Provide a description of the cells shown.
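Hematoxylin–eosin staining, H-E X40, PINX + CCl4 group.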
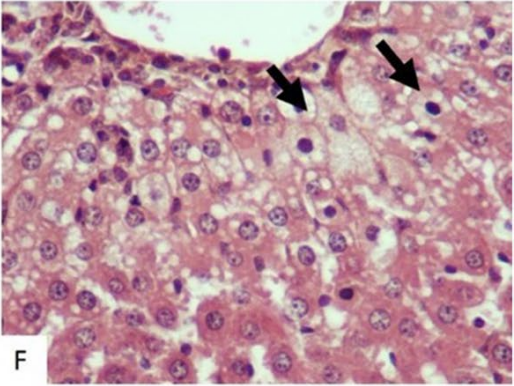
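Liver parenchyma with hepatocytes lying next to the lumen of a vessel at the top of the field. The hepatocytes have round nuclei with visible nucleoli, and their pale pink cytoplasm is filled with many clear round vacuoles of different sizes. Scattered among them are cells with small, condensed, darkly stained nuclei. The vessel is lined by flattened cells with thin elongated nuclei.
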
